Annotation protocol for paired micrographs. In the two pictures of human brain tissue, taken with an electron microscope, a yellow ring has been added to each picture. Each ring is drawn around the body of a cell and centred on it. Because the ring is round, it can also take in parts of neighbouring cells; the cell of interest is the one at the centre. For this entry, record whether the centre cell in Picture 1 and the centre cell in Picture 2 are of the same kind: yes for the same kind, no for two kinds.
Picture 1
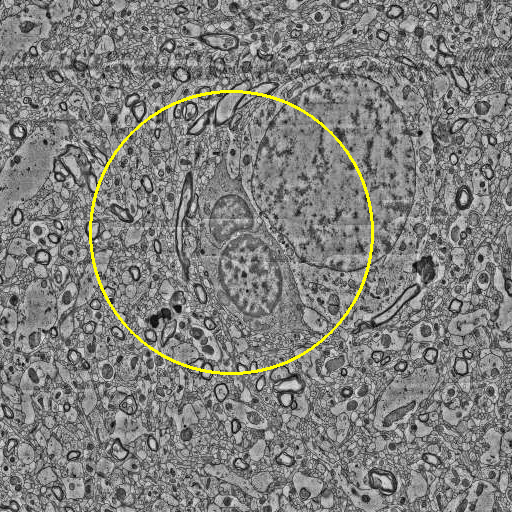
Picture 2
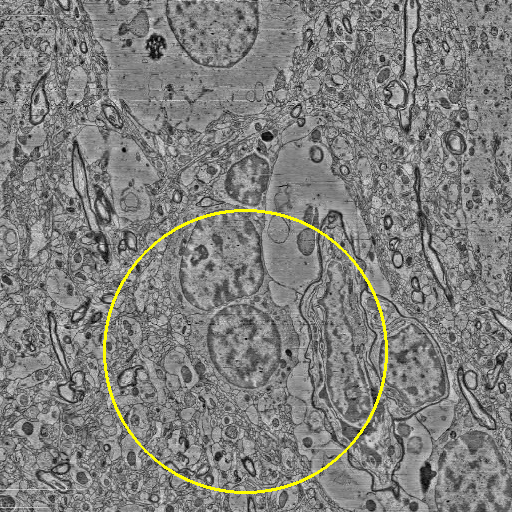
yes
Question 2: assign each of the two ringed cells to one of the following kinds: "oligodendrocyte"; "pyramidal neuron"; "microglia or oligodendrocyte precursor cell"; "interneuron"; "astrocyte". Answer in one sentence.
Each of the two rings surrounds an oligodendrocyte.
